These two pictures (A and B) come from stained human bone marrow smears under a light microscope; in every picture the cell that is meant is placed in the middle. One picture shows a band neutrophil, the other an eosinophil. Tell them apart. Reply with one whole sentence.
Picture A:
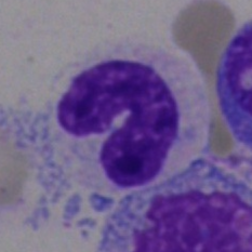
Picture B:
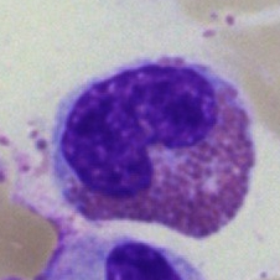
Picture A is of a band neutrophil, and picture B is of an eosinophil.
